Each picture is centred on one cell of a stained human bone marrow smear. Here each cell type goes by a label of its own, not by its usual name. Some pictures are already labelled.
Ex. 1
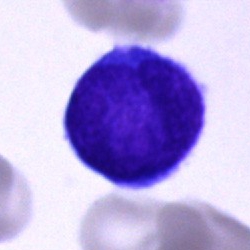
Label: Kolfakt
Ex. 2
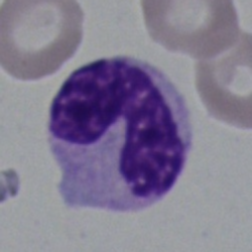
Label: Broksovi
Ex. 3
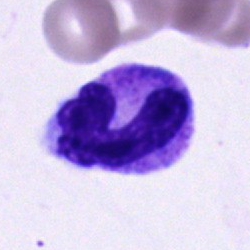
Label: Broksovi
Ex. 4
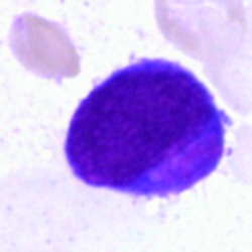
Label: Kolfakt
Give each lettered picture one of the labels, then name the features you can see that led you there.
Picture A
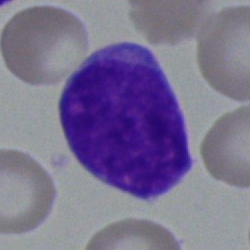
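Answer: Kolfakt. The nucleus fills almost the whole cell.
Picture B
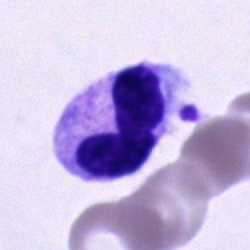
Answer: Broksovi. The cytoplasm holds fine lilac granules.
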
